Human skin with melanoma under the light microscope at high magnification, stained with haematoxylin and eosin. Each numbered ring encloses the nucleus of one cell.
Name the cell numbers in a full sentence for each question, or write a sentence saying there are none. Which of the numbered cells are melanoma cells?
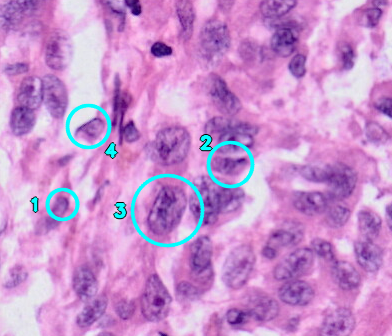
The cells numbered 2, 3 and 4 are of the kind known as melanoma cells.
